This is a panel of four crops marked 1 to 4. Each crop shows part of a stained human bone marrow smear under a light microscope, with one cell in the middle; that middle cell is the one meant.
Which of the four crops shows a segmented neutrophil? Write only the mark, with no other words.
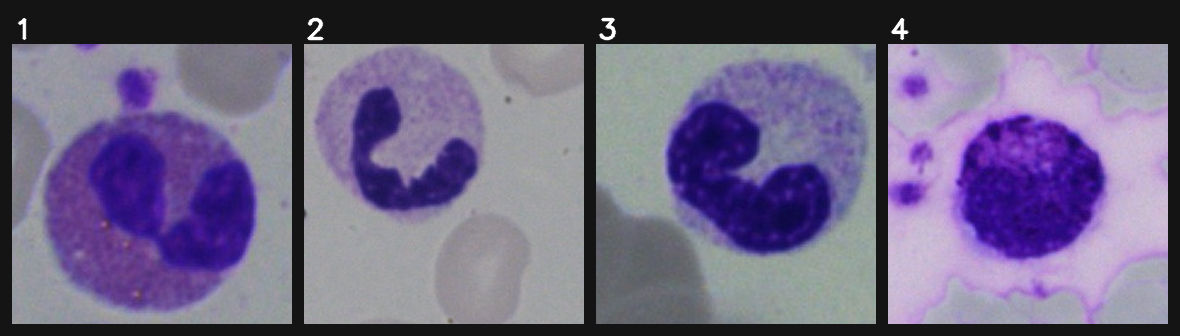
2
